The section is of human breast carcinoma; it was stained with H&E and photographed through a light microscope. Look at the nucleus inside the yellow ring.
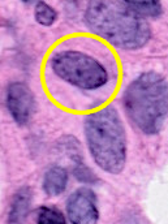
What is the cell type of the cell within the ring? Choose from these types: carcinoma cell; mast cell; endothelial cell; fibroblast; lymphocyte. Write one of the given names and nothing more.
carcinoma cell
